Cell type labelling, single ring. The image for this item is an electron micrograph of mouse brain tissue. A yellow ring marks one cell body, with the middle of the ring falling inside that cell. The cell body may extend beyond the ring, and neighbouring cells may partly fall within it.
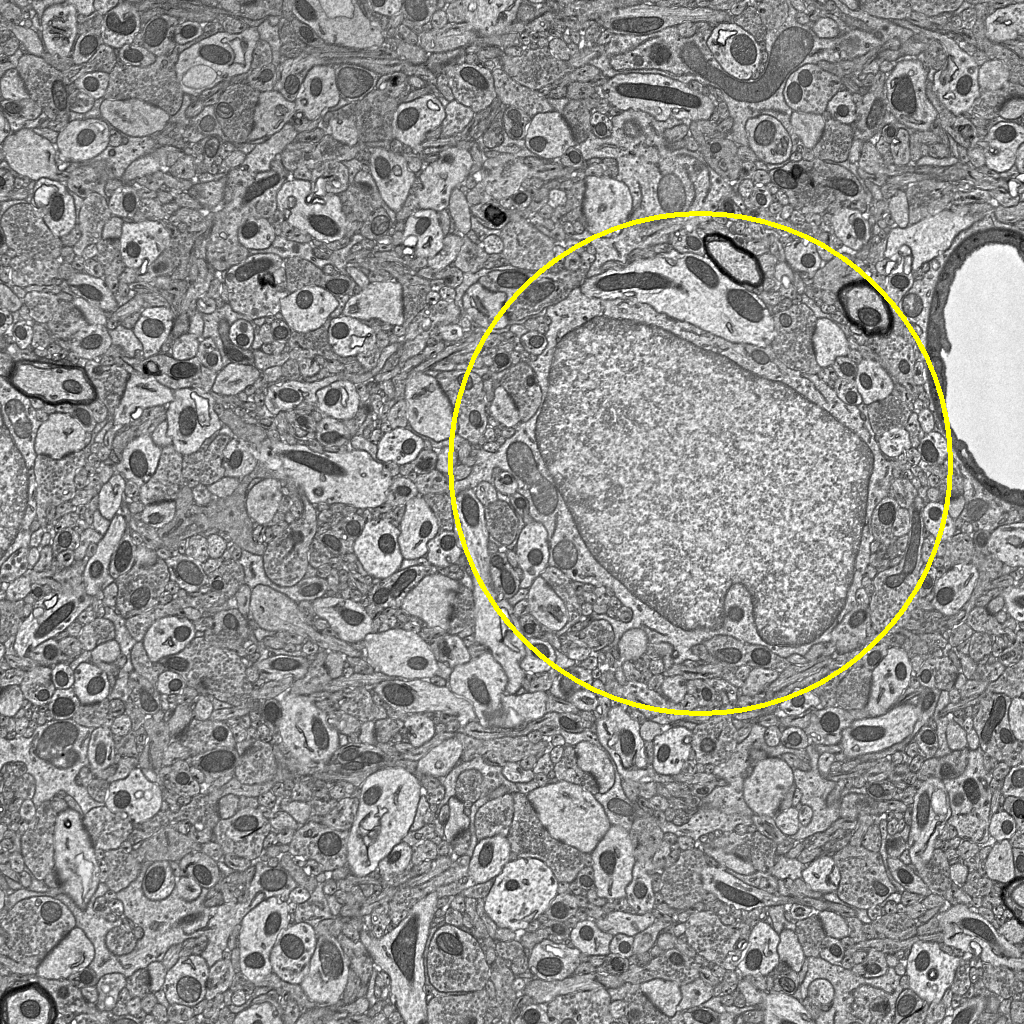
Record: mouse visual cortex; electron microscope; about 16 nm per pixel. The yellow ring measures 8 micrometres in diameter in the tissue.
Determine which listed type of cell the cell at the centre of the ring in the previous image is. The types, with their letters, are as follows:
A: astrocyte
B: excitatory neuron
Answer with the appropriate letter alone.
A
